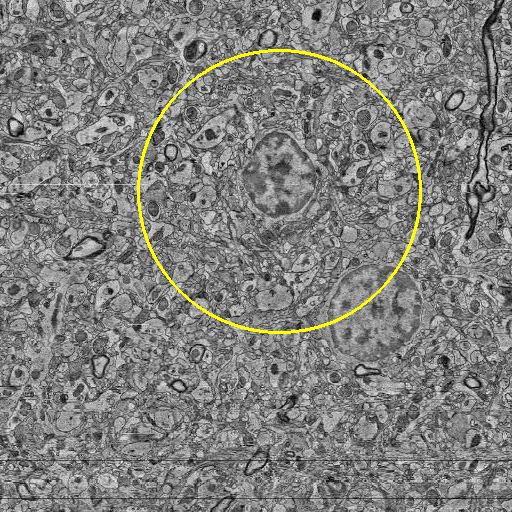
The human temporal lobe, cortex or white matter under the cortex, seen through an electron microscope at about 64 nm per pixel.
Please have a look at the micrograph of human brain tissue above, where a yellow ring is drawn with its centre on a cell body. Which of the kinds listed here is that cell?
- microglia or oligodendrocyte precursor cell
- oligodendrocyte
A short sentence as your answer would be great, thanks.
At the centre of the ring sits a microglial cell or oligodendrocyte precursor cell.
